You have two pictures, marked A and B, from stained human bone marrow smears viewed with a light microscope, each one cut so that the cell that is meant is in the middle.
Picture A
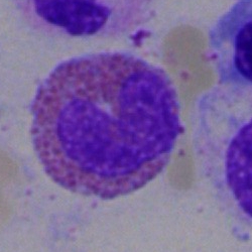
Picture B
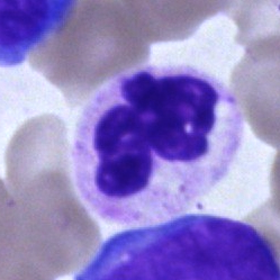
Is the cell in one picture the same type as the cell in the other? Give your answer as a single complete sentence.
No, picture A shows an eosinophil and picture B shows a segmented neutrophil.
